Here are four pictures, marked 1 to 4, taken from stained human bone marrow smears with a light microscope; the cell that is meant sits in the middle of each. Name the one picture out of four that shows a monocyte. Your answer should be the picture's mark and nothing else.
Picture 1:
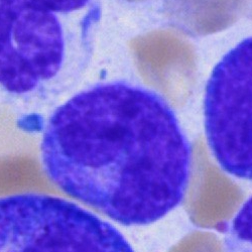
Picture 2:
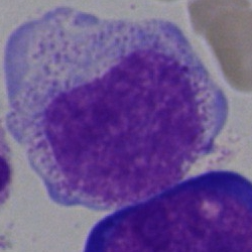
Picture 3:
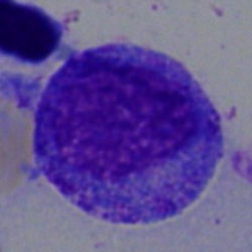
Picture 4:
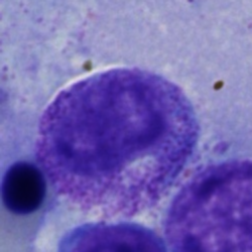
1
